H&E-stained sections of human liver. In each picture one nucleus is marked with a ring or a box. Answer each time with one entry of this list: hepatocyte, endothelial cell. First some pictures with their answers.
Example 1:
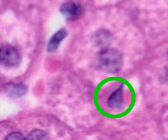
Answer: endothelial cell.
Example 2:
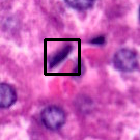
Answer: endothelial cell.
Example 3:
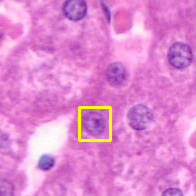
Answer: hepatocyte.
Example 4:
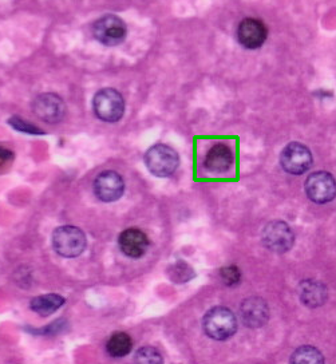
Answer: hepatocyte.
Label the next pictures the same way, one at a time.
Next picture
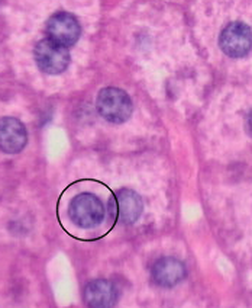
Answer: hepatocyte.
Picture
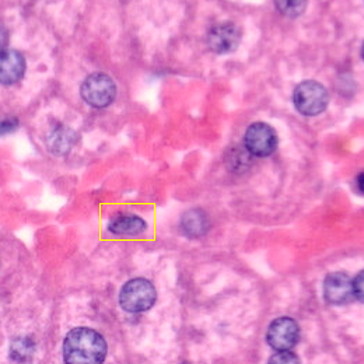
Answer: endothelial cell.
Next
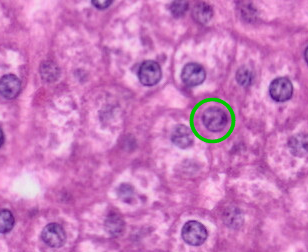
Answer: hepatocyte.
